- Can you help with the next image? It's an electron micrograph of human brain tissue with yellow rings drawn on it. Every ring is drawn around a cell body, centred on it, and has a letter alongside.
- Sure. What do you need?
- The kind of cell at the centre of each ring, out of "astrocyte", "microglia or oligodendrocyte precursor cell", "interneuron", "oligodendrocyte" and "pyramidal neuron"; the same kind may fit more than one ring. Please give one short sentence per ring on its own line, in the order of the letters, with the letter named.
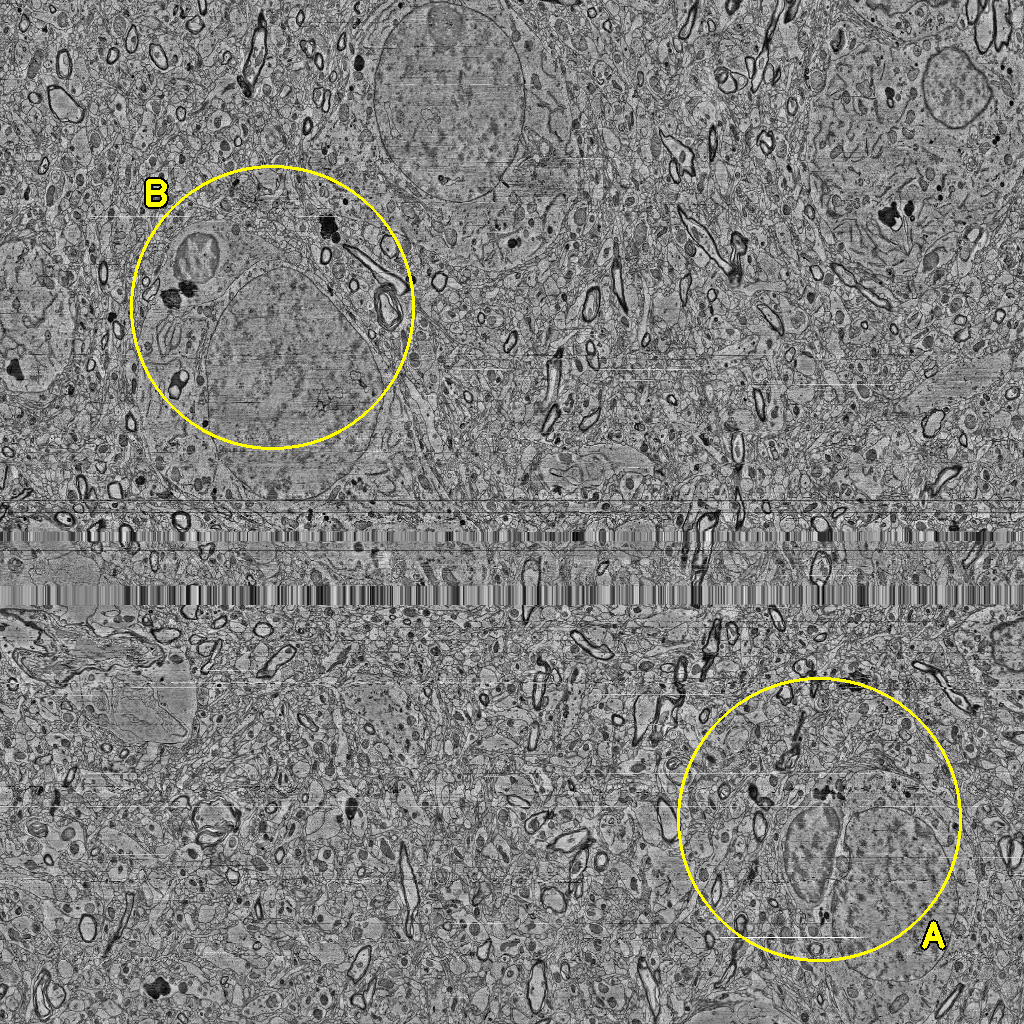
Ring A picks out an oligodendrocyte.
Ring B picks out a pyramidal neuron.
